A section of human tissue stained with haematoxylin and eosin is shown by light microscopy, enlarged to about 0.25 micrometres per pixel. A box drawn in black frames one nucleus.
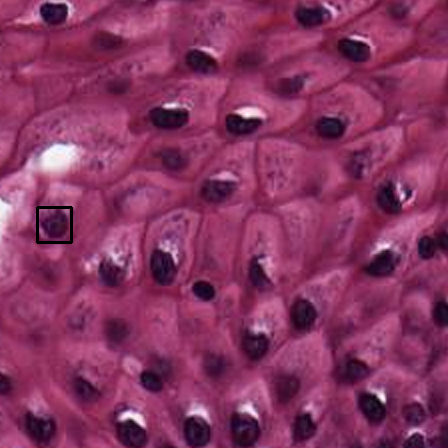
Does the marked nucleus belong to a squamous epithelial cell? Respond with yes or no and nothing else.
yes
